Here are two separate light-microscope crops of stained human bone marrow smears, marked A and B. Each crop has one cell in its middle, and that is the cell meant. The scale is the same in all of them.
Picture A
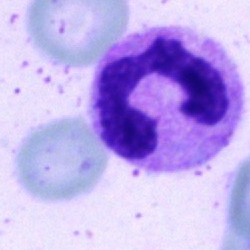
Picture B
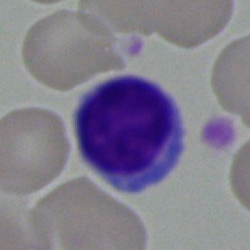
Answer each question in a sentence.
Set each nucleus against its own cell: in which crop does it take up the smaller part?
Of the two, the nucleus in picture A leaves more room for cytoplasm.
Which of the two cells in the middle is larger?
Picture A holds the larger cell; it covers about 2 times the area of the cell in picture B.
